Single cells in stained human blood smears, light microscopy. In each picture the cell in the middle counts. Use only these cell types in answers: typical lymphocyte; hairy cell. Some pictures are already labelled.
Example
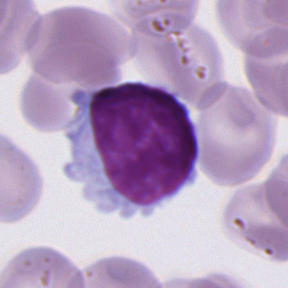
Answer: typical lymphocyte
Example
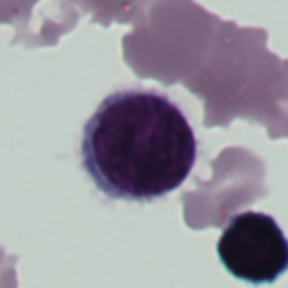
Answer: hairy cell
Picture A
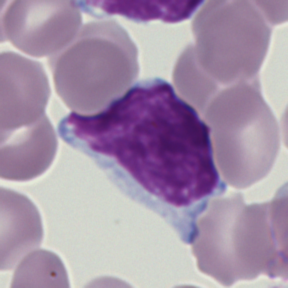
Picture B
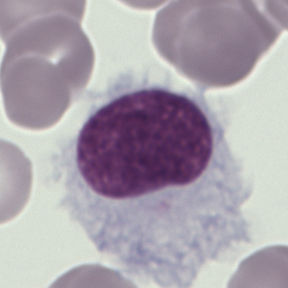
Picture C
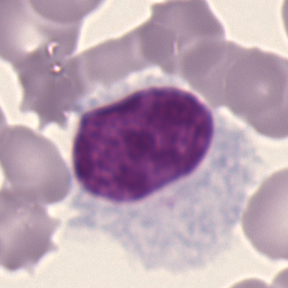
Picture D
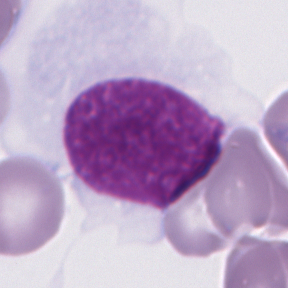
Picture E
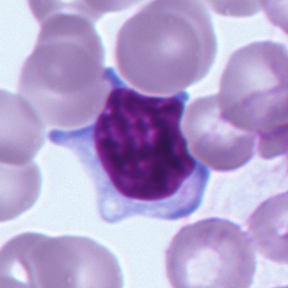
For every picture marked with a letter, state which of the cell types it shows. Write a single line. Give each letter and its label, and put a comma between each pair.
A typical lymphocyte, B hairy cell, C hairy cell, D hairy cell, E typical lymphocyte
